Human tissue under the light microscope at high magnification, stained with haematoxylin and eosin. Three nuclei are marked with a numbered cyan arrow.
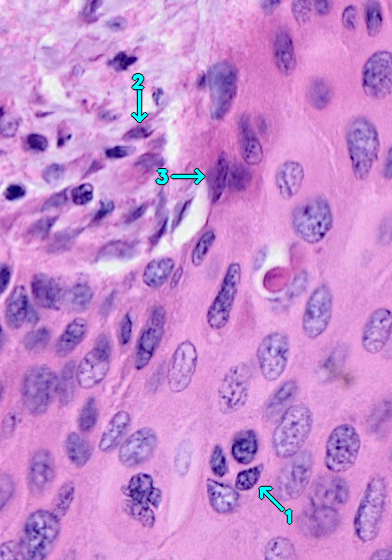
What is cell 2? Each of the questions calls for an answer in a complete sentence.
The numeral 2 marks a fibroblast in this section.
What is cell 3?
Regarding cell 3, this one is a squamous carcinoma cell.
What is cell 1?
The cell referenced by the number 1 is a squamous carcinoma cell in this field.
